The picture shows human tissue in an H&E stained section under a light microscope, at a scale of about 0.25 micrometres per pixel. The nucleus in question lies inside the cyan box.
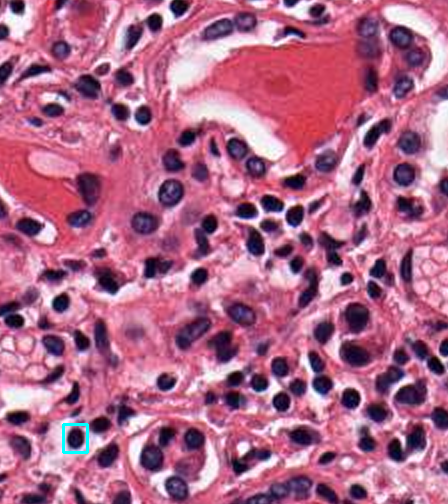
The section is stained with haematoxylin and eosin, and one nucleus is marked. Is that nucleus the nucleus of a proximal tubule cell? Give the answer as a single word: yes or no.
no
